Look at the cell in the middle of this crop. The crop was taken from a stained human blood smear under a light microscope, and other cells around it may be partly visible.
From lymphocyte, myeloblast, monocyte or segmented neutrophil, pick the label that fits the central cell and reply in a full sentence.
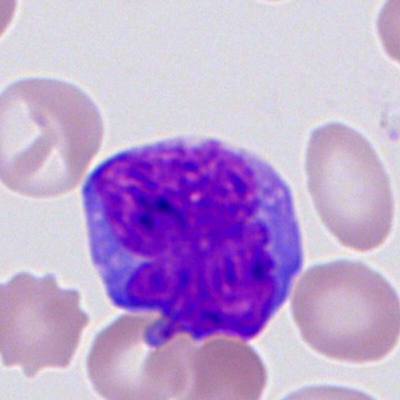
In this smear crop, the middle cell is a myeloblast.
